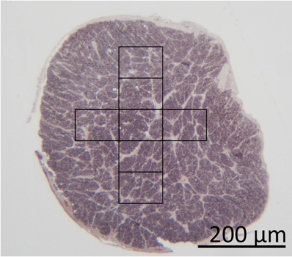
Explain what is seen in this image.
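This is a cross section through an optic nerve at low magnification, showing its architecture rather than single cells. The section is roughly round, with a thin pale sheath around its rim. Inside, the tissue stains purple and is divided into many small, irregular lobules, the axon bundles. Narrow pale septa run between them in a branching network. The lobules are fairly even in size and spread across the whole section, with no large gaps.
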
